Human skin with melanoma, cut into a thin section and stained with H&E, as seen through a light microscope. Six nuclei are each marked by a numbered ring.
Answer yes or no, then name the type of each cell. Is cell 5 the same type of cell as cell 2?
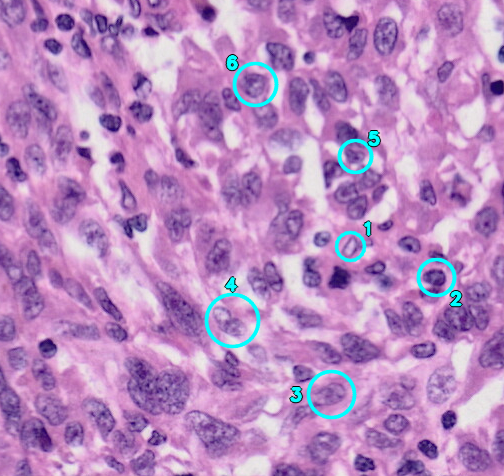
No, with respect, cell 5 is a melanoma cell and cell 2 is a lymphocyte.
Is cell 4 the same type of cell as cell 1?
No, cell 4 is a melanoma cell whereas cell 1 is an endothelial cell.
